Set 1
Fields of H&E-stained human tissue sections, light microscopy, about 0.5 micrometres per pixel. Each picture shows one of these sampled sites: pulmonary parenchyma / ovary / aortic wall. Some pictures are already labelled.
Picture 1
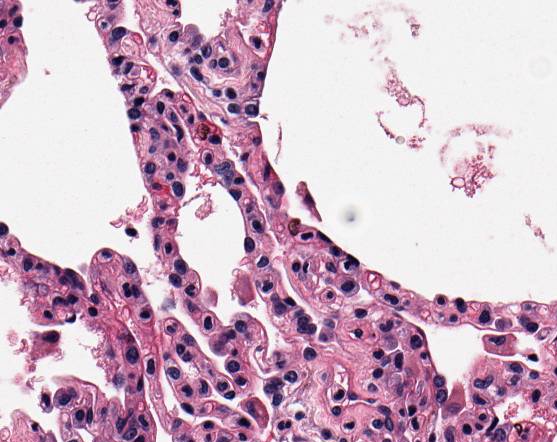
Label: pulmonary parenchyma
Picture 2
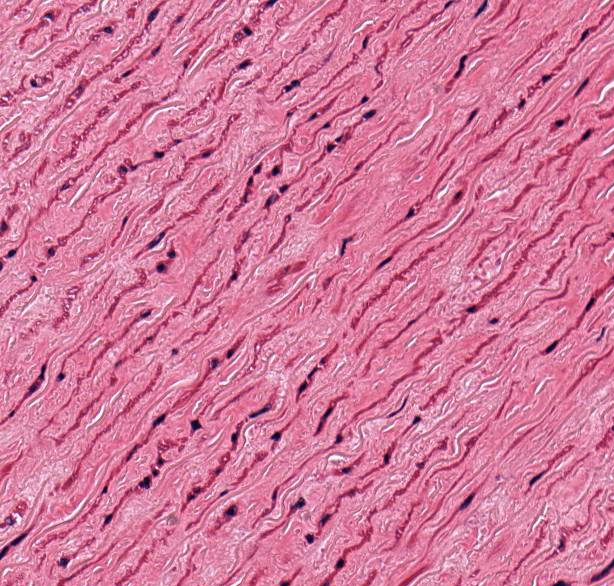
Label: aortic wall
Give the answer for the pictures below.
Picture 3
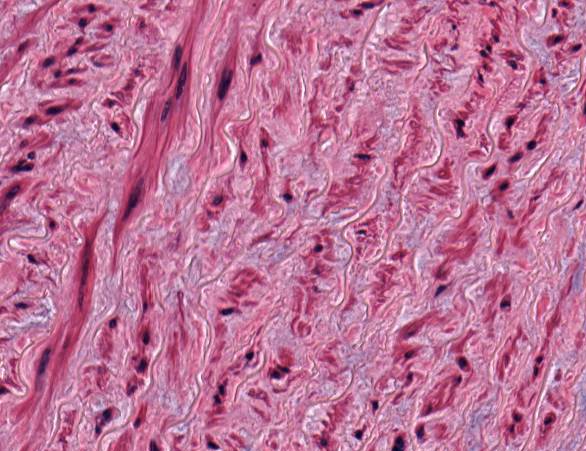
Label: aortic wall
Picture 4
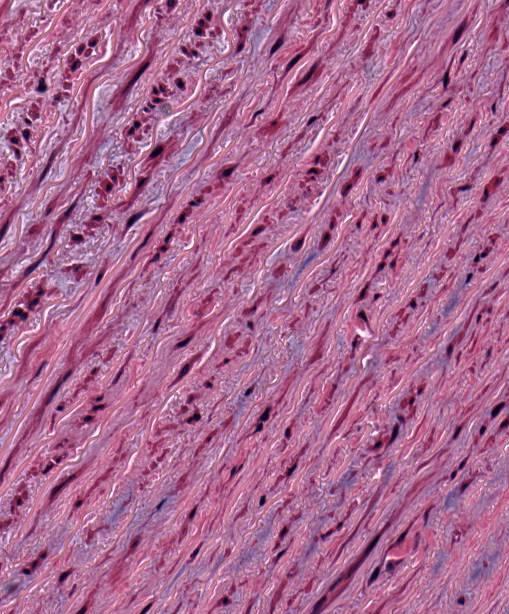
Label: aortic wall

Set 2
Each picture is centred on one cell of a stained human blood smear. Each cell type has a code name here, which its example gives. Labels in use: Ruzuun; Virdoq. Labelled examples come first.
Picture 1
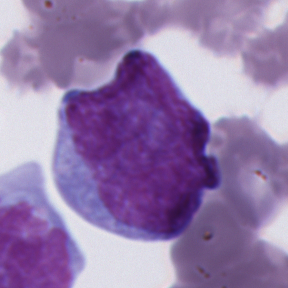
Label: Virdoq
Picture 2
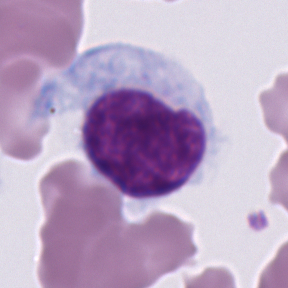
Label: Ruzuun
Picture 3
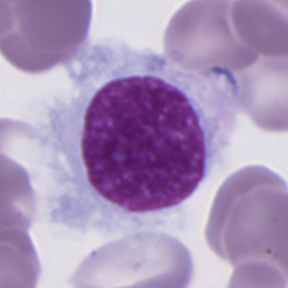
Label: Ruzuun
